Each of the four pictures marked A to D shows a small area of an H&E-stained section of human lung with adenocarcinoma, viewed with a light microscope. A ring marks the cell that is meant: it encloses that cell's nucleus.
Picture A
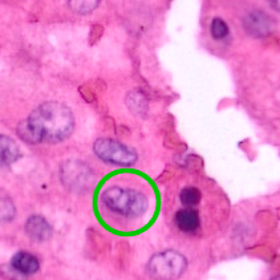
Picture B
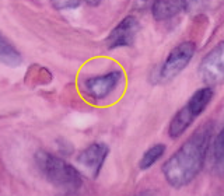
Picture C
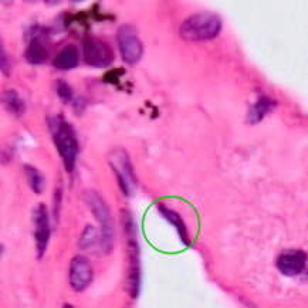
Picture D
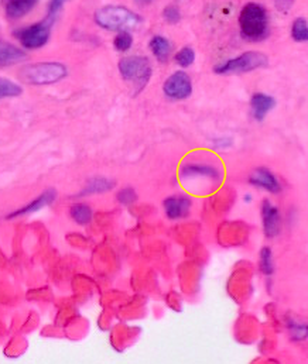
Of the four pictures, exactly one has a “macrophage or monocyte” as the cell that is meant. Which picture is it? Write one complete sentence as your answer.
Picture A is the one that shows the “macrophage or monocyte”.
